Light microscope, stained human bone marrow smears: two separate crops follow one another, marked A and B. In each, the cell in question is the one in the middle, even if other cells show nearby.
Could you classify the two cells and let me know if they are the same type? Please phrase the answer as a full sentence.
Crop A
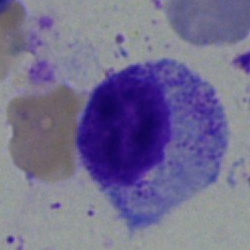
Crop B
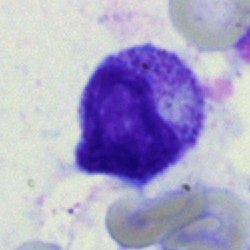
Yes, myelocytes are the cells shown in both crops.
